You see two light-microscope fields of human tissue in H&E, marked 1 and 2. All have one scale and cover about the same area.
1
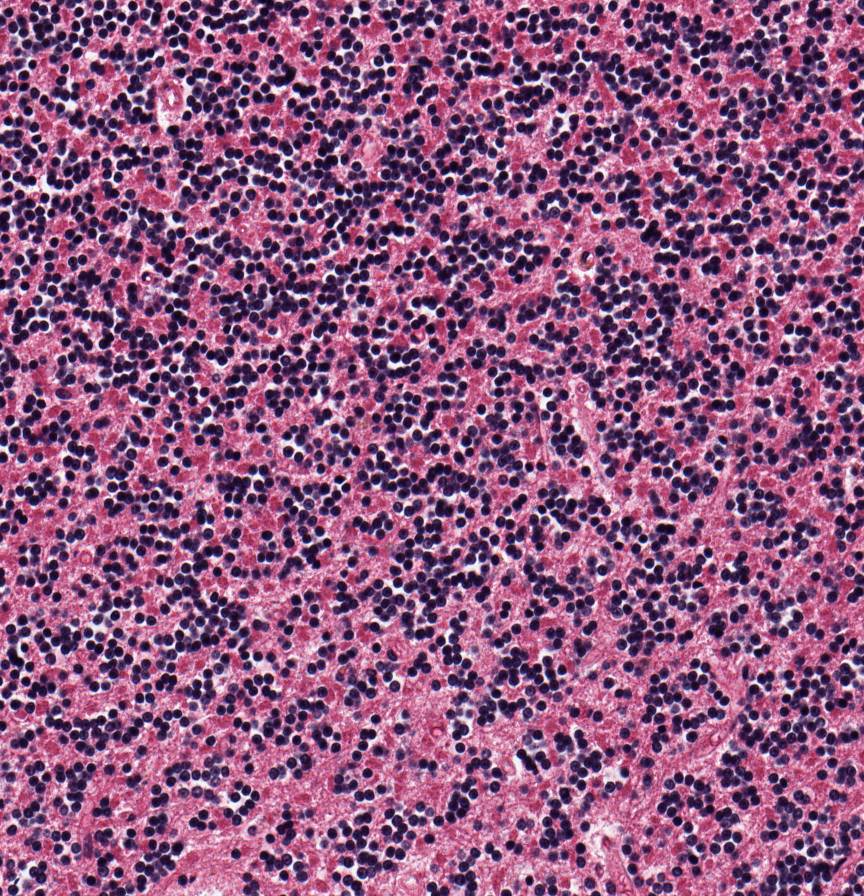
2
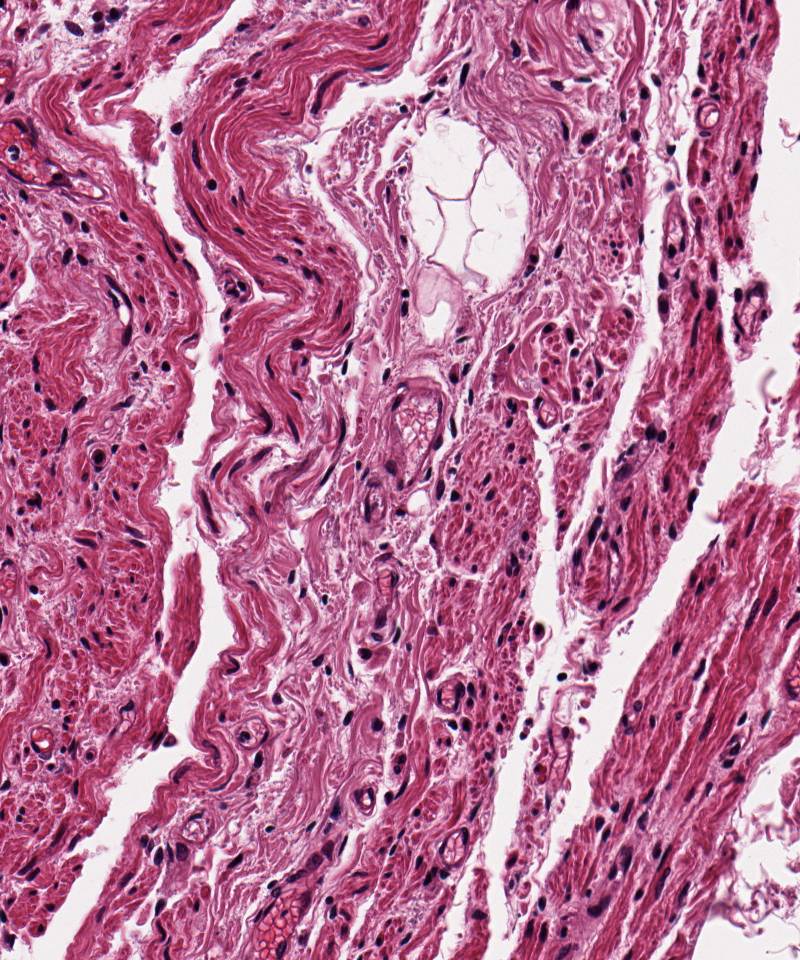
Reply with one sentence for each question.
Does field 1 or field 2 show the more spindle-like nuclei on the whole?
The nuclei are more elongated in field 2.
